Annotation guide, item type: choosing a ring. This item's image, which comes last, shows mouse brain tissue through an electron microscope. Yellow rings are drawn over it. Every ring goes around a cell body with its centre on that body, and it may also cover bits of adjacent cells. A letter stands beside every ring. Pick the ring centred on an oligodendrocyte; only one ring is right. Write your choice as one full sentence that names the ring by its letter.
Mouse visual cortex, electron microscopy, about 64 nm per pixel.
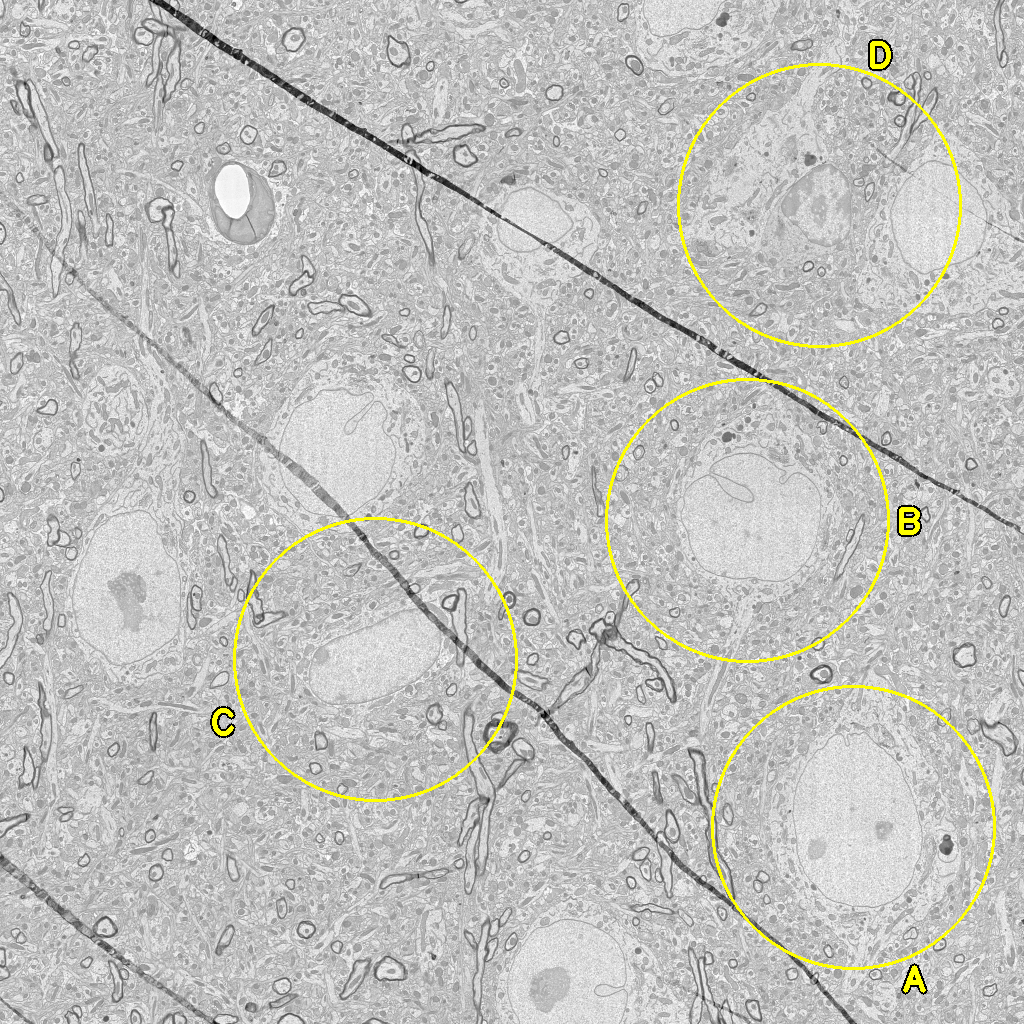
In the image, Ring D is centred on a cell of the kind requested.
